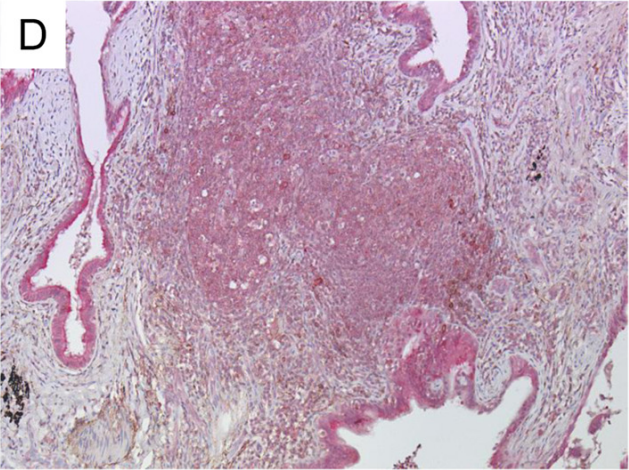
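A dense, rounded aggregate of small round cells with closely packed nuclei fills the middle of the lung tissue, taking on a diffuse red tint with scattered brown cells. On either side run folded airspaces lined by a single layer of epithelium that stains strongly red, set in looser stroma with scattered cells. This is a lymphoid cluster lying between airways in the lung.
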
